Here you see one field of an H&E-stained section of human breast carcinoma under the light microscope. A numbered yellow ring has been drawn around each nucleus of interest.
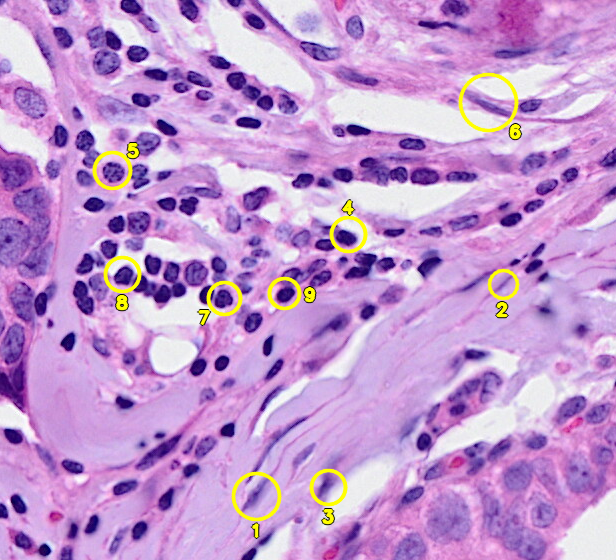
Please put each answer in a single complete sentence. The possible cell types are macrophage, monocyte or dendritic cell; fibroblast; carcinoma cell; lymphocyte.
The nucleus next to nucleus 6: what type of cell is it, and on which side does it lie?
Lying to the right of nucleus 6, the nearest nucleus is that of a macrophage, monocyte or dendritic cell.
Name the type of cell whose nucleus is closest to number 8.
It is a lymphocyte whose nucleus is nearest to number 8.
